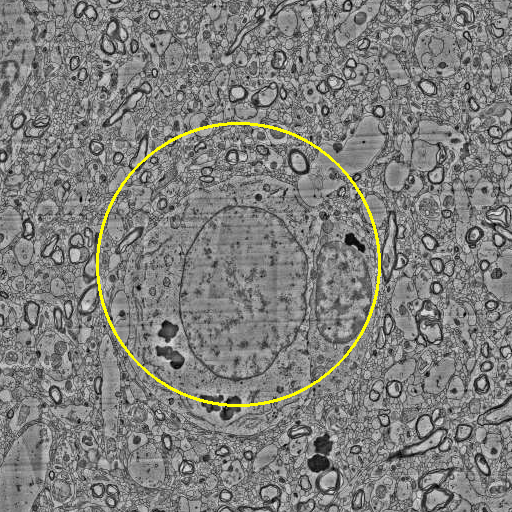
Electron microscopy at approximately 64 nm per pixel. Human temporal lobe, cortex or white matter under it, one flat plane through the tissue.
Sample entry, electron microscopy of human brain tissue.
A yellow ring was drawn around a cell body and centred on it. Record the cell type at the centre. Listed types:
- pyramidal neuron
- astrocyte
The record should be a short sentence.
The cell at the ring's centre is a pyramidal neuron.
